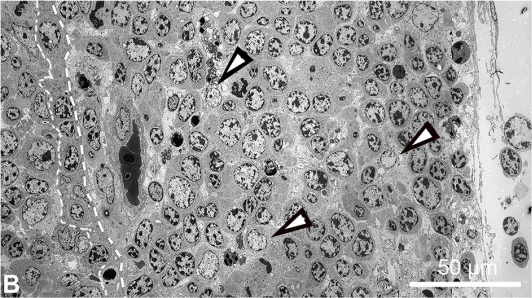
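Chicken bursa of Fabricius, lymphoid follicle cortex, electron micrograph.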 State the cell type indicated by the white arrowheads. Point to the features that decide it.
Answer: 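The marked cells have pale, large nuclei with fine chromatin. They lie scattered among densely packed round cells with darker, clumped chromatin.
Answer: reticular cells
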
